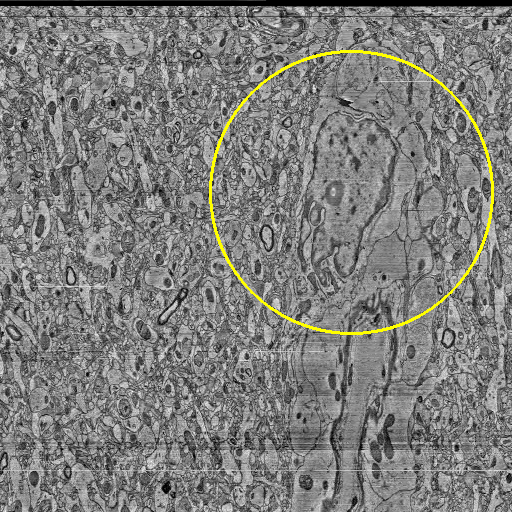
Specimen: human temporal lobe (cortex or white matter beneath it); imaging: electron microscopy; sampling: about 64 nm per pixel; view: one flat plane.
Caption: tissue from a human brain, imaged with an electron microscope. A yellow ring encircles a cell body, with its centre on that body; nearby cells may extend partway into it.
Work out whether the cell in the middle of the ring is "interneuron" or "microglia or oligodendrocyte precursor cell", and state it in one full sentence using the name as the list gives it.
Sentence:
In the picture, the cell that the yellow ring surrounds at its centre is a microglial cell or oligodendrocyte precursor cell.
